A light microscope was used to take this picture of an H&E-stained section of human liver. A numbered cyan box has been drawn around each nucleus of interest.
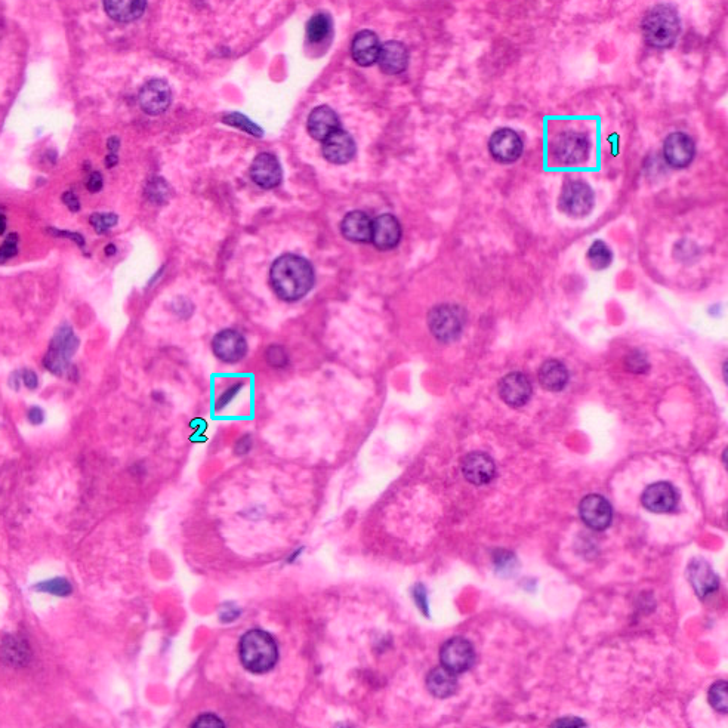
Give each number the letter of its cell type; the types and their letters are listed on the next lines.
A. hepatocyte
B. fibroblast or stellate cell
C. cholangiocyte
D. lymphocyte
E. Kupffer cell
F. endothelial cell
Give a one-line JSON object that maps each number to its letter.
{"1": "A", "2": "F"}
